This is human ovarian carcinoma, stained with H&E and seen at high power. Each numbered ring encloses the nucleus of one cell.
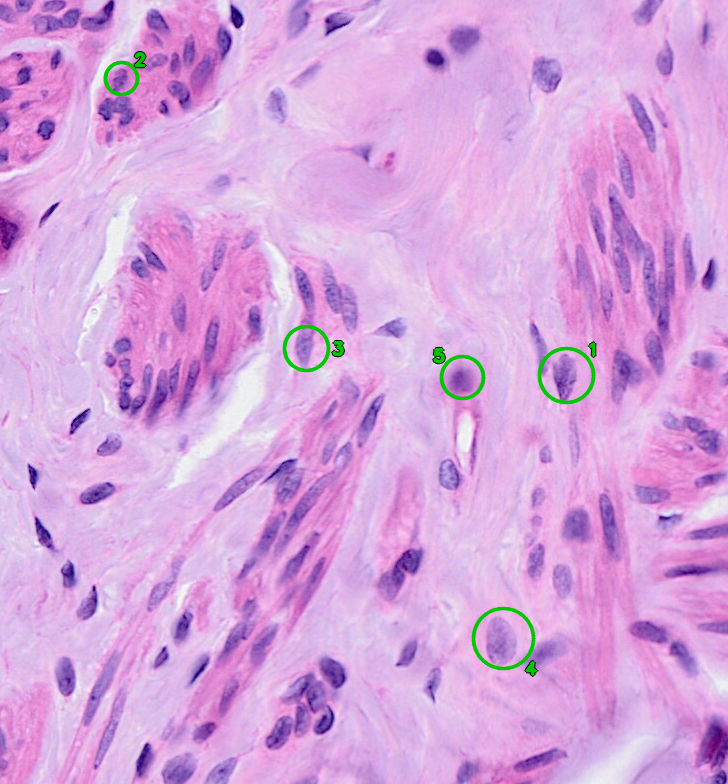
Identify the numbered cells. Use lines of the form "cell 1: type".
cell 1: fibroblast
cell 2: smooth muscle cell
cell 3: smooth muscle cell
cell 4: fibroblast
cell 5: endothelial cell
